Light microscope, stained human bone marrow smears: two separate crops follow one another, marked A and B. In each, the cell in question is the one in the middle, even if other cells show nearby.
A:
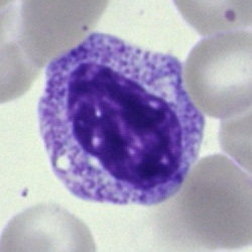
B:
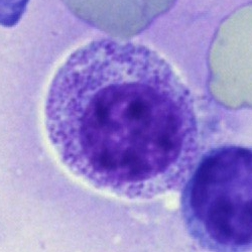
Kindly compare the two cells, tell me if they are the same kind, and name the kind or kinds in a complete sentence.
Yes, at the centre of both crops are myelocytes.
